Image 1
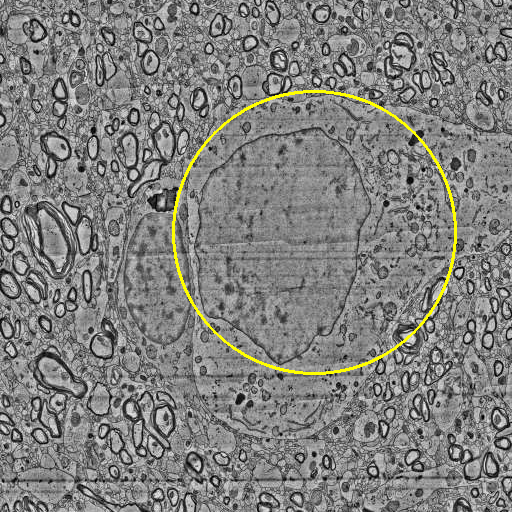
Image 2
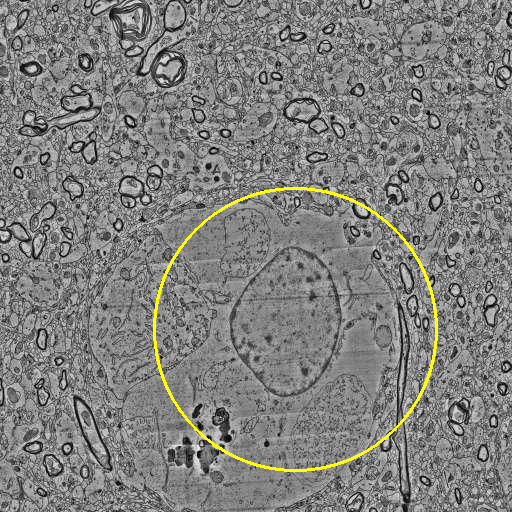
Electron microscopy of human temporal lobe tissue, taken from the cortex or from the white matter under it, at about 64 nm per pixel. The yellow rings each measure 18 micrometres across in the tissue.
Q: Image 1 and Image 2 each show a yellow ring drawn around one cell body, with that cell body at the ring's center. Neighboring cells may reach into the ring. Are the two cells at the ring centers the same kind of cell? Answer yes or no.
no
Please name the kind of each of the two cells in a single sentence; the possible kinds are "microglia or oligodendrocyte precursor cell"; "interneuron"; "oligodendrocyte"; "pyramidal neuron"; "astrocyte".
In the first picture the ring is centred on a pyramidal neuron, and in the second on an astrocyte.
